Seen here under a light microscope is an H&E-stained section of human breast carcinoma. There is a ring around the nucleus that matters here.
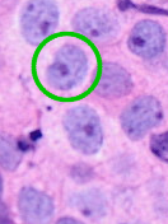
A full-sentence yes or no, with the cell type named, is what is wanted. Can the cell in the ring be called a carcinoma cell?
Yes, the claim that the cell in the ring is a carcinoma cell holds true.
